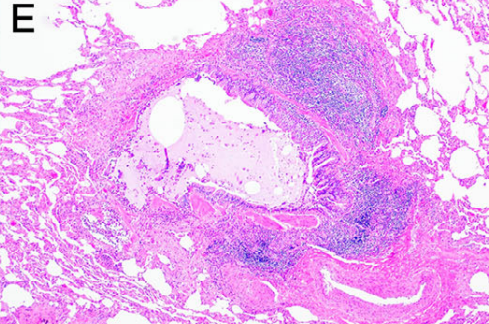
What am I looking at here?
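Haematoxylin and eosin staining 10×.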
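This is lung tissue cut around an airway, with a dense crowd of inflammatory cells lying in the tissue around it. Near the centre a lumen holds pale pink material and is surrounded by a thick wall of pink fibrous tissue. Within and beside this wall lie large patches of small, closely packed, dark-blue nuclei, the chronic inflammatory infiltrate. At the edges of the field the lung keeps its lacy pattern of thin-walled air spaces.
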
